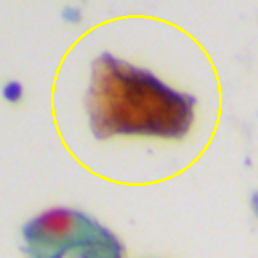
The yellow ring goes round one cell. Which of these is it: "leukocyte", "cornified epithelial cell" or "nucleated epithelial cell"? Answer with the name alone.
cornified epithelial cell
